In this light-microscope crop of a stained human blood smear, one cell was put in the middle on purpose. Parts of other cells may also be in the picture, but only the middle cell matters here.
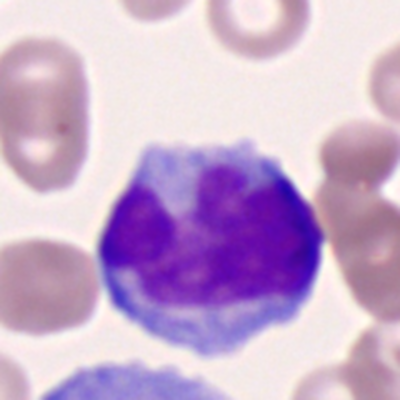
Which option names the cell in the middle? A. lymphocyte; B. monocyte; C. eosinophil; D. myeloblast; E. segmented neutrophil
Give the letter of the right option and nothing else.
B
